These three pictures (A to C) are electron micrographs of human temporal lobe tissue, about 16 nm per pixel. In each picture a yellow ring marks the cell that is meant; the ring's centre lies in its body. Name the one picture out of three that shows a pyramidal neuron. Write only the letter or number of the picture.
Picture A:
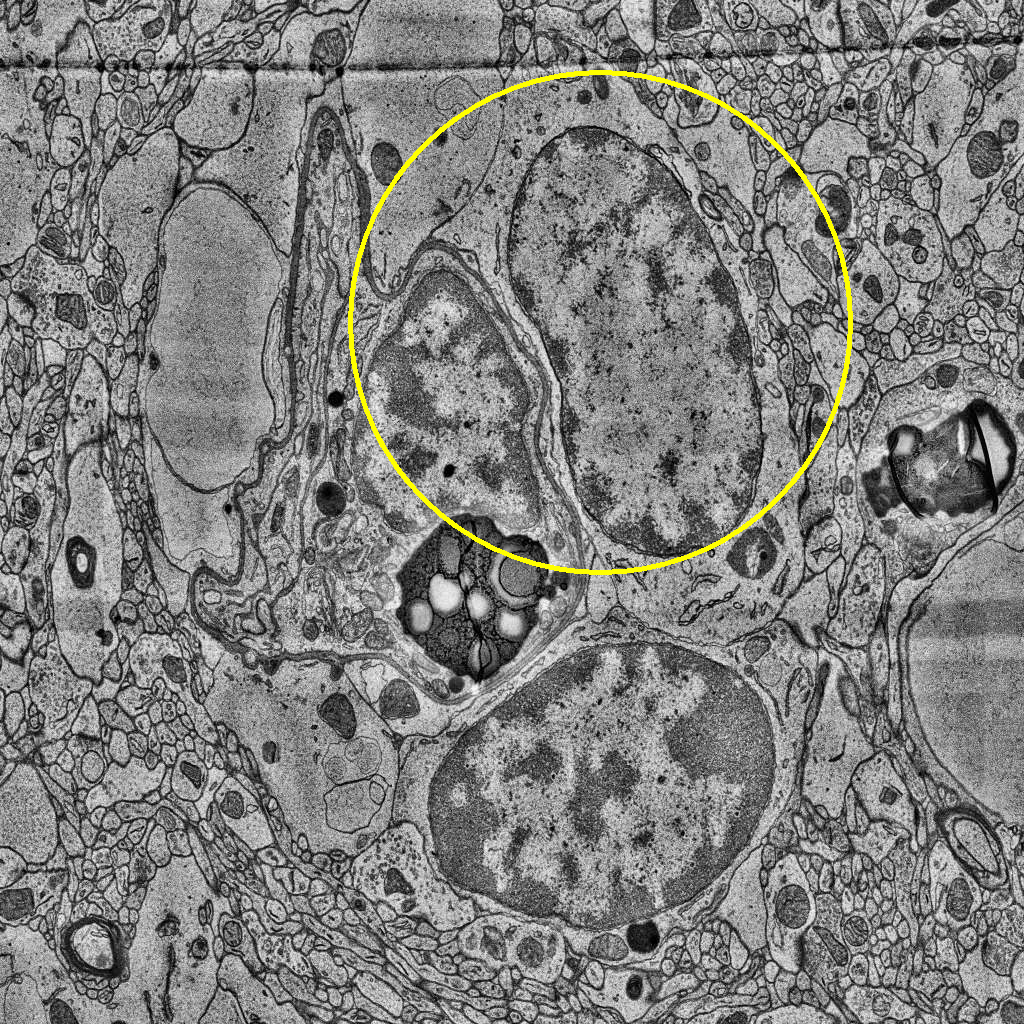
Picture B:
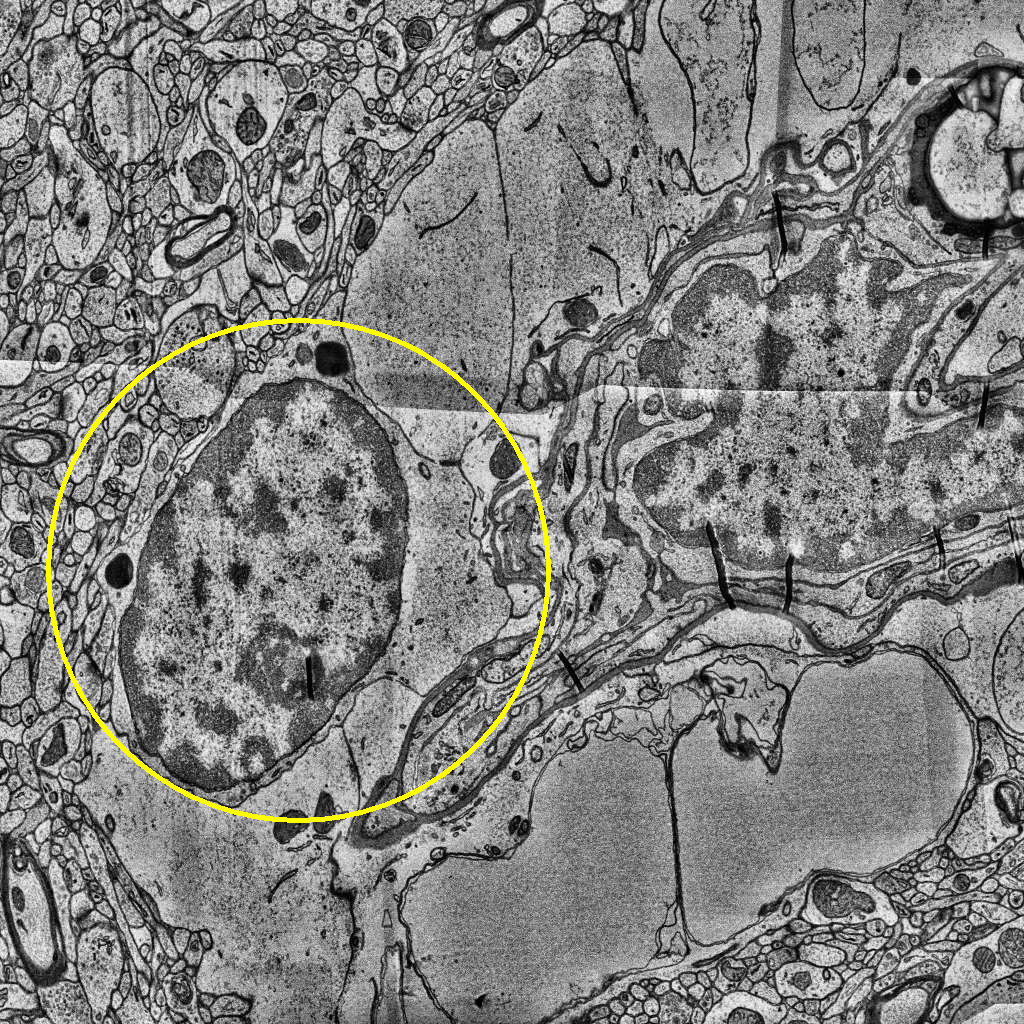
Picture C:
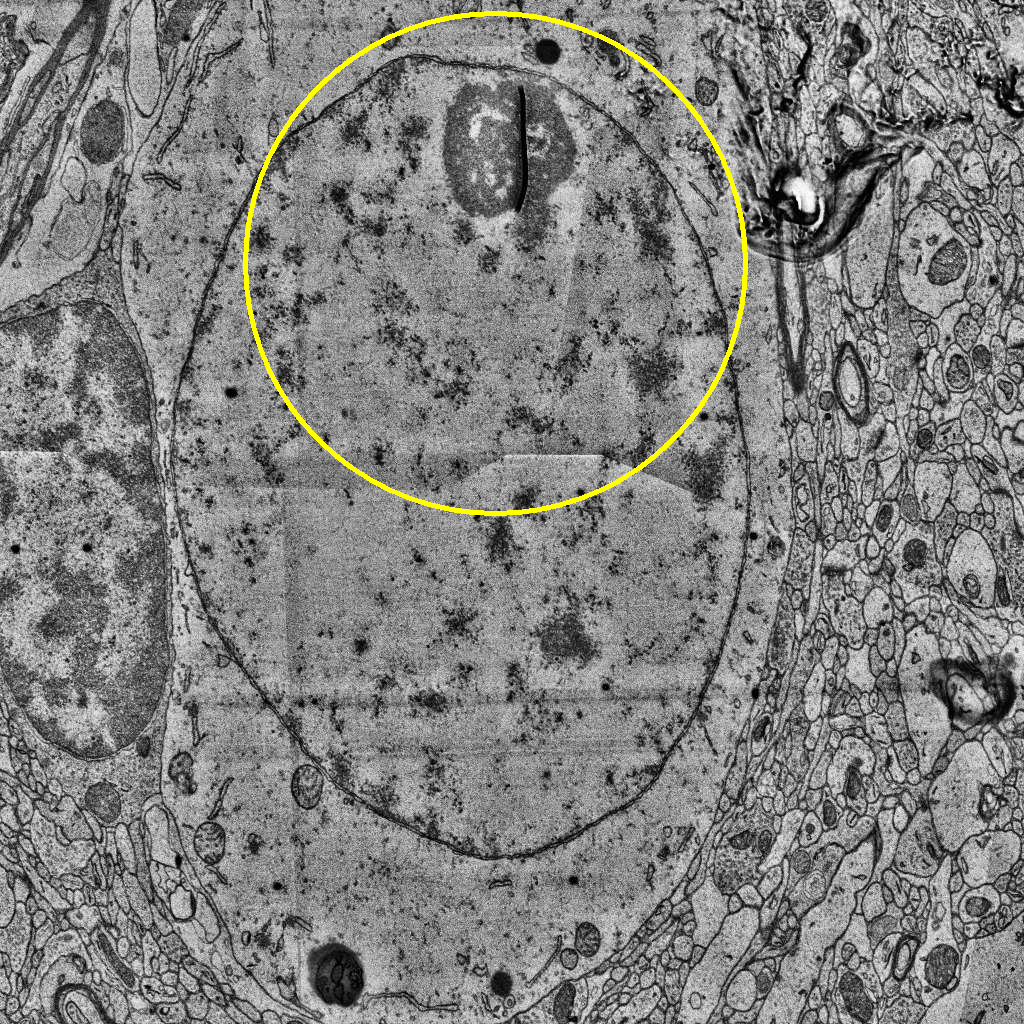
C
